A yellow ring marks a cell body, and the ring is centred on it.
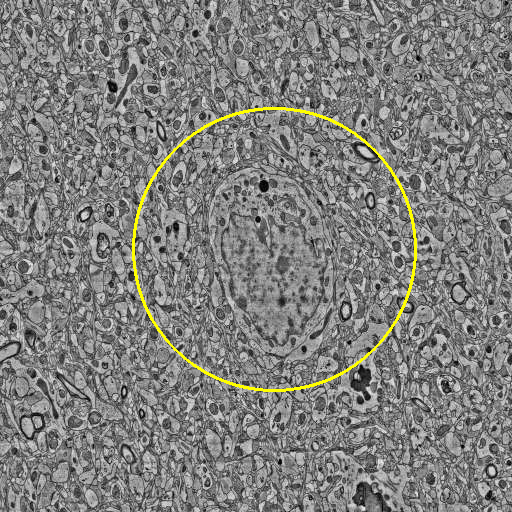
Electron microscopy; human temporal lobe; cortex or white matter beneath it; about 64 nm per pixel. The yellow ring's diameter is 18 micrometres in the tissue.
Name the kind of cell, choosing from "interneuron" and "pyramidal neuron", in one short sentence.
The marked cell body belongs to an interneuron.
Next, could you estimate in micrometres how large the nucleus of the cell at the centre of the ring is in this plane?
The nucleus is approximately 8 micrometers long by 6 micrometers wide in this plane.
